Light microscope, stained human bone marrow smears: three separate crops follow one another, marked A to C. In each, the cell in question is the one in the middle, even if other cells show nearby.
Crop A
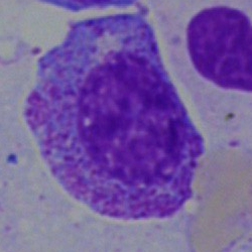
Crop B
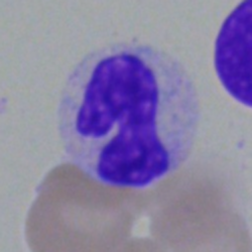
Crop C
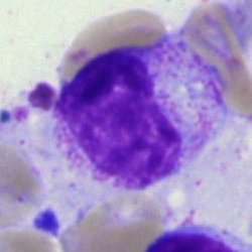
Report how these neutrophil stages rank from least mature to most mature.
A, C, B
